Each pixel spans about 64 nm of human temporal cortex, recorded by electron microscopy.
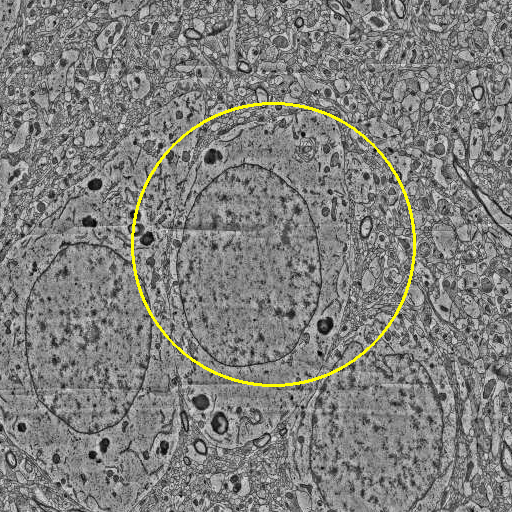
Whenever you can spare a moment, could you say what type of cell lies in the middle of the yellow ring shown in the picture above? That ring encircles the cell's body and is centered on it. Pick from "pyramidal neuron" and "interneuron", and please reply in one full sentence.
The cell whose body sits at the middle of the yellow ring is a pyramidal neuron.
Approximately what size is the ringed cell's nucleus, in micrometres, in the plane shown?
The nucleus measures about 13 by 9 micrometres in this plane.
